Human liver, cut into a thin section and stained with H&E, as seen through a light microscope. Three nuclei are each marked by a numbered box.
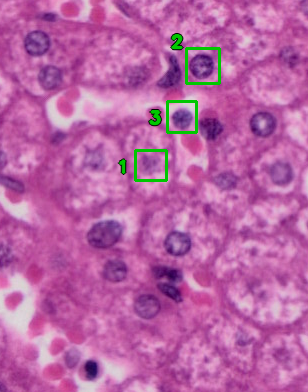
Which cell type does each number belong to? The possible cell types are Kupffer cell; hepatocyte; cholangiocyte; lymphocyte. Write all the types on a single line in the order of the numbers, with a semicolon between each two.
hepatocyte; hepatocyte; lymphocyte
